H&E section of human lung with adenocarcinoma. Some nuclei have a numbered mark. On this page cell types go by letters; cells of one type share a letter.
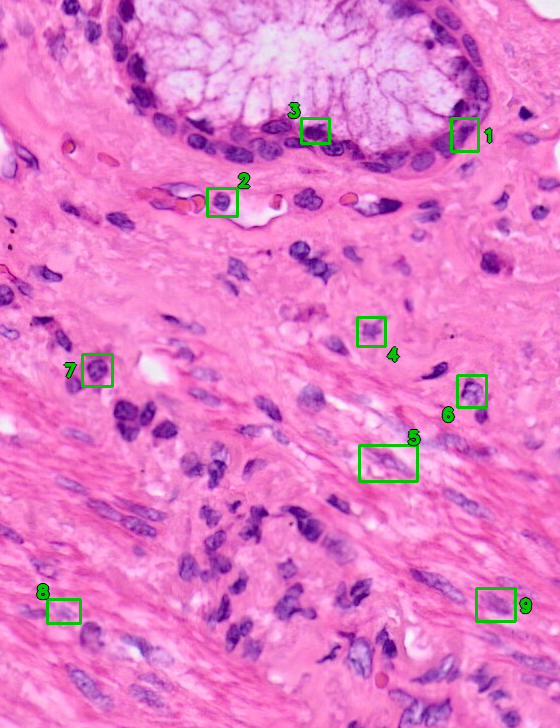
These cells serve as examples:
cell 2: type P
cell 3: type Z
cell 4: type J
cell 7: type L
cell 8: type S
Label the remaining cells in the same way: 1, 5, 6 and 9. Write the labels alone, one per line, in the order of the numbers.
type Z
type S
type J
type S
